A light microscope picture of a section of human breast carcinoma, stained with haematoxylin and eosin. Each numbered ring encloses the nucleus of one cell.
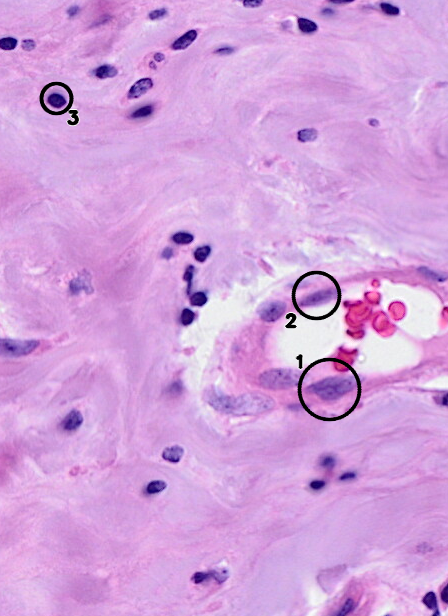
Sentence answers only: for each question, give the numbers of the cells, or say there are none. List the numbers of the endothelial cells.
Identification: the cells with numbers 1 and 2 are endothelial cells.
